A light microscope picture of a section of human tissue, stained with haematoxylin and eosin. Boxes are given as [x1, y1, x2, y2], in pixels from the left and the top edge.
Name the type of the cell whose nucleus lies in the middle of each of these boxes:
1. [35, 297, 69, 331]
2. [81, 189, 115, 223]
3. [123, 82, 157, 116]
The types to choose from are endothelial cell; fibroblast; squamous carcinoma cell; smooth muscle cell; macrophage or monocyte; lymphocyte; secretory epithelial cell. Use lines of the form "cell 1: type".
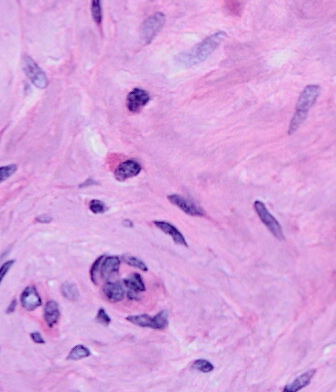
cell 1: endothelial cell
cell 2: fibroblast
cell 3: lymphocyte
